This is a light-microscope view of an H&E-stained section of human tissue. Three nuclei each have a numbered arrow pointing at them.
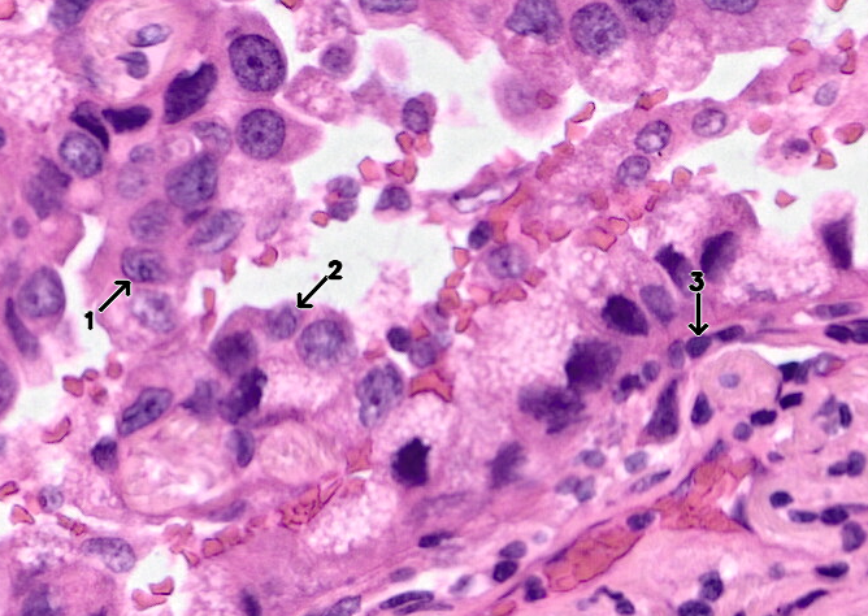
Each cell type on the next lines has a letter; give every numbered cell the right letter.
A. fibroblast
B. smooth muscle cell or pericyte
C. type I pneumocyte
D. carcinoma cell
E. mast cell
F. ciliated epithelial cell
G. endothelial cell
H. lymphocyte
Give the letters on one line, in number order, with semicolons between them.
D; D; H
